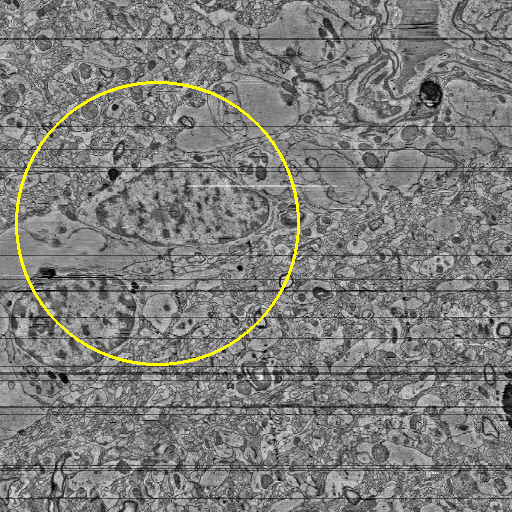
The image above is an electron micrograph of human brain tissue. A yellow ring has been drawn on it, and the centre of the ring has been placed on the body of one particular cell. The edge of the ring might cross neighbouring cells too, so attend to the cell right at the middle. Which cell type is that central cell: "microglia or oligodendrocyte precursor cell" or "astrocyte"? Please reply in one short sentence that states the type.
The central cell in the ring is a microglial cell or oligodendrocyte precursor cell.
